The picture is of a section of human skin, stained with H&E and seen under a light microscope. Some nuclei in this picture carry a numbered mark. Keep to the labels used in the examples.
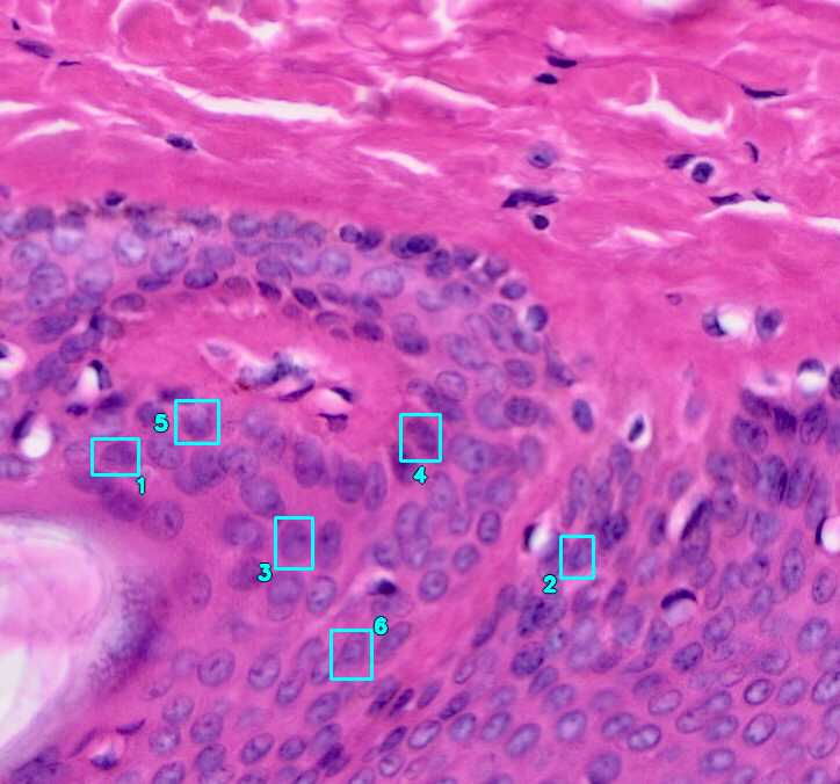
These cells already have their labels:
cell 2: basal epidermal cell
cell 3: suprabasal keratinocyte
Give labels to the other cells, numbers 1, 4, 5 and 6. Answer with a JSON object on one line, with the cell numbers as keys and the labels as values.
{"1": "suprabasal keratinocyte", "4": "basal epidermal cell", "5": "basal epidermal cell", "6": "suprabasal keratinocyte"}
